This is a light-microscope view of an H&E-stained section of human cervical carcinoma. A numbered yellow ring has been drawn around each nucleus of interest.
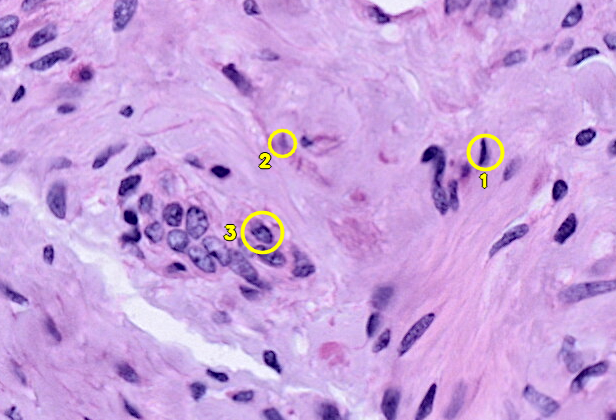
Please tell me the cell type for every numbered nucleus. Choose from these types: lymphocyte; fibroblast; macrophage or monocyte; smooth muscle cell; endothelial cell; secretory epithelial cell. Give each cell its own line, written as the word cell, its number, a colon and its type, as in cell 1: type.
cell 1: fibroblast
cell 2: smooth muscle cell
cell 3: endothelial cell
